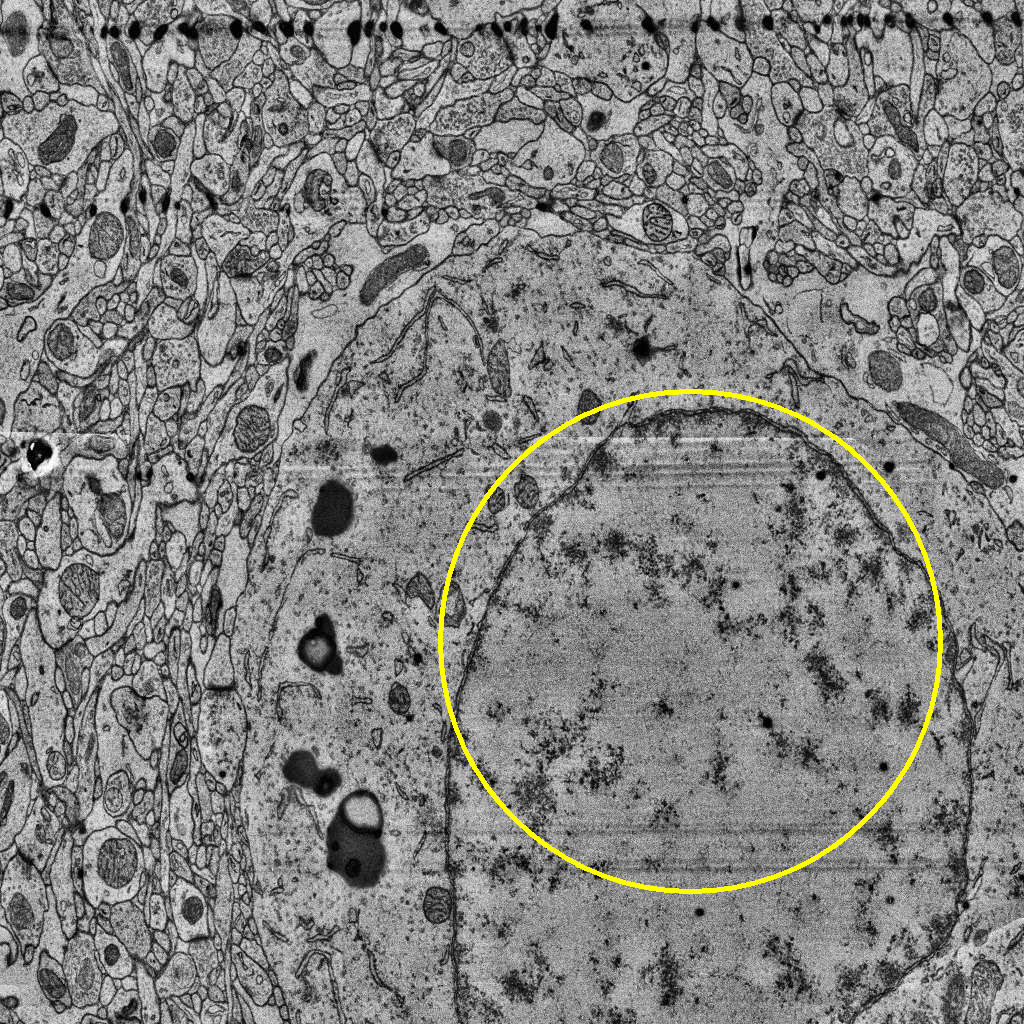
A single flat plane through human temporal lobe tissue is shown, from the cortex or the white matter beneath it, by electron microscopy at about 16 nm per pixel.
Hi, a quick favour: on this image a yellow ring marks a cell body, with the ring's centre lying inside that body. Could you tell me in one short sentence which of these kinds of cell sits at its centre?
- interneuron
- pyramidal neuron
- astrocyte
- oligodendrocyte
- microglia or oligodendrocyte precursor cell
The ring's centre lies in a pyramidal neuron.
